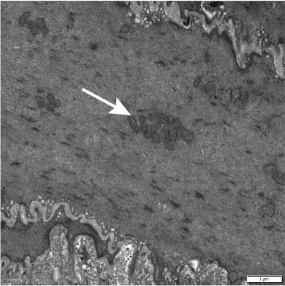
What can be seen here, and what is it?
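At high magnification the field is filled with grey, finely fibrillar cytoplasm of muscle cells, with faint darker streaks running along them. Along the lower and upper edges the cell membranes are wavy and folded, bordering a narrow intercellular space.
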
